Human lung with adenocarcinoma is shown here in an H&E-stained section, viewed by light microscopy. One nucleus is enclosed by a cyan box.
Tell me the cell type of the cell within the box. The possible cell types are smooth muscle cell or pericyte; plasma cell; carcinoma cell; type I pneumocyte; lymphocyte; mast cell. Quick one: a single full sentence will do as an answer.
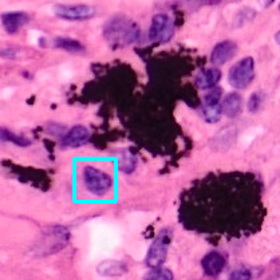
As to its cell type, the cell within the box is a mast cell.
